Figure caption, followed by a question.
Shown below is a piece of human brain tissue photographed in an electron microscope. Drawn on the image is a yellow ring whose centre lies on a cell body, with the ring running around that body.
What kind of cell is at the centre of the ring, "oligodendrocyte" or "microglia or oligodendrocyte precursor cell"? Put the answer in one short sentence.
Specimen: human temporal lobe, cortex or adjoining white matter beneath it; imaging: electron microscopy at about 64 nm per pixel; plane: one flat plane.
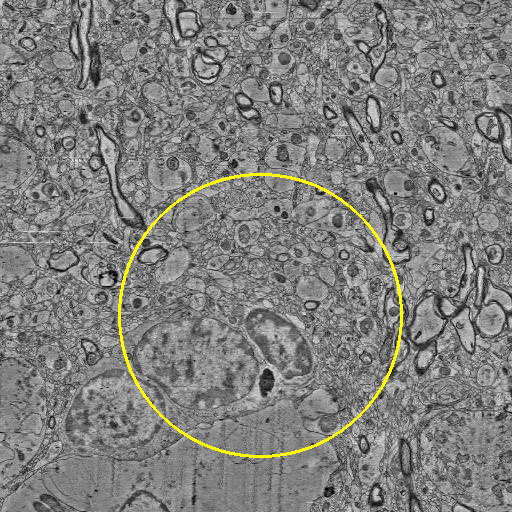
The ring marks the cell body of a microglial cell or oligodendrocyte precursor cell.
